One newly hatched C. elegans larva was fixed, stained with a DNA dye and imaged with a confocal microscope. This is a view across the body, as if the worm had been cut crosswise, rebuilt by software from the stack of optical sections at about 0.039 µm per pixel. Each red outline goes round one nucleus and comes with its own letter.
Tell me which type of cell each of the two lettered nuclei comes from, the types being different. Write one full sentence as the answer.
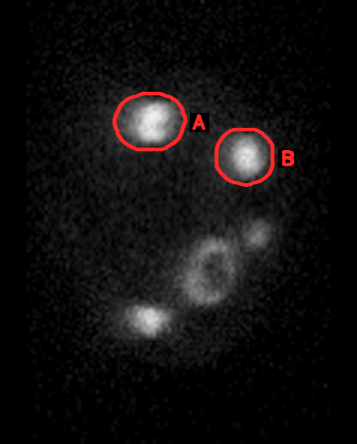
The nucleus A is that of a coelomocyte, while B is that of a P cell (ventral epidermal blast cell).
